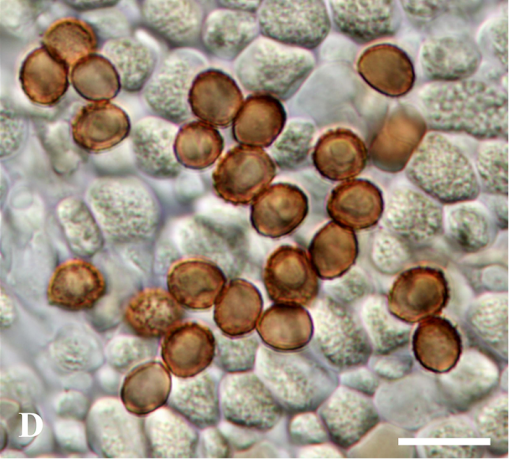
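Rust-brown spores lie singly and in small clusters over pale tissue. The spores are rounded to broadly ellipsoid, and their size is fairly even. Some spores show a roughened, dotted surface. The underlying cells are colourless and rounded to polygonal. They are closely packed, and their contents look finely granular. Against these hyaline cells, the pigmented spore walls are easy to tell apart.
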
